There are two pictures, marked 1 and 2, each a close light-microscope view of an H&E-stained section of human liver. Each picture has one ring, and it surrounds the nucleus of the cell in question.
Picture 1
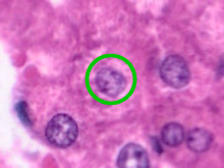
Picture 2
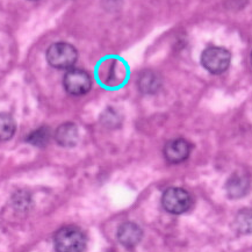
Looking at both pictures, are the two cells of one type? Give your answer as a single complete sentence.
No, they differ: the cell is a hepatocyte in picture 1 and a “fibroblast or stellate cell” in picture 2.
